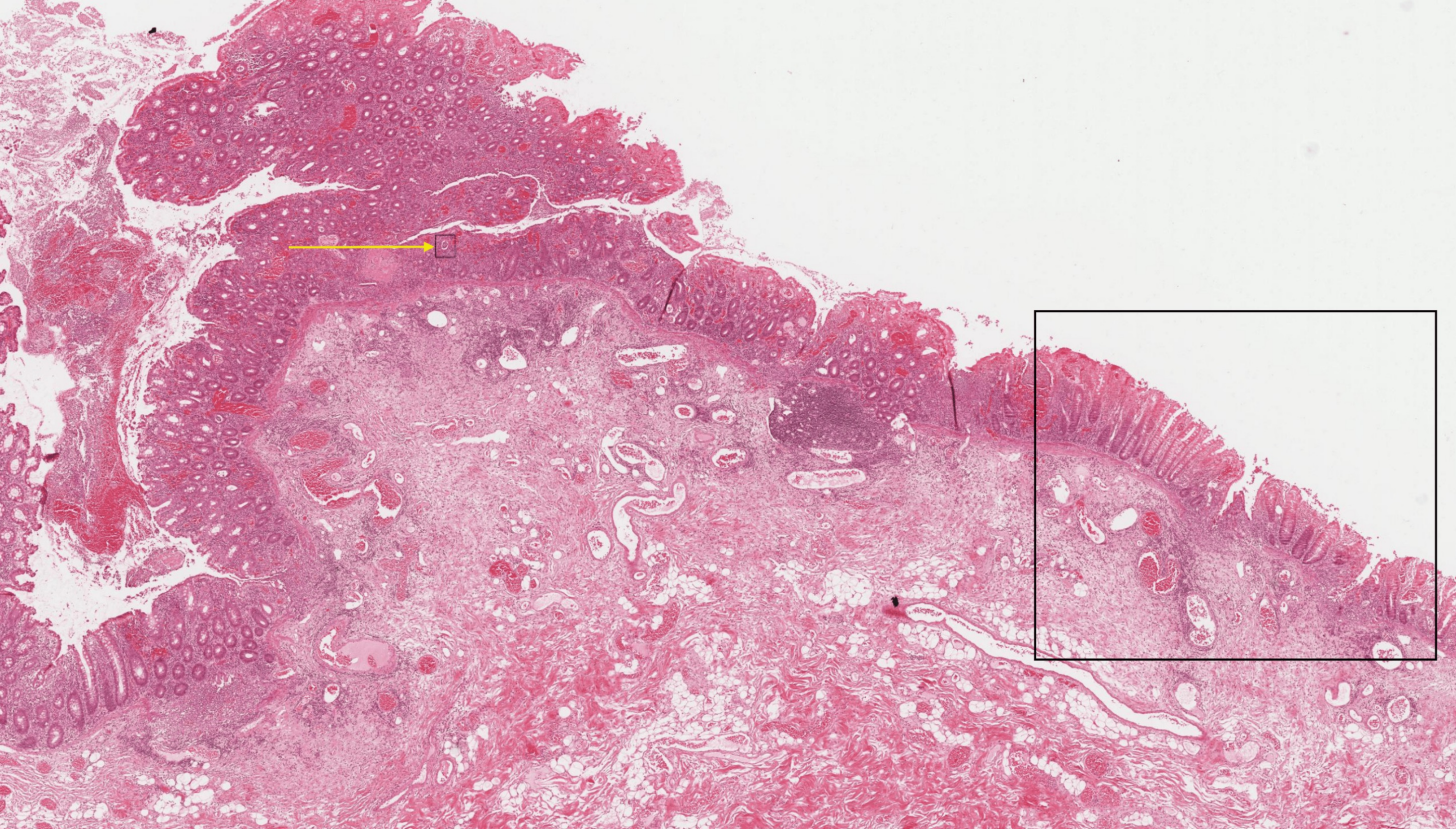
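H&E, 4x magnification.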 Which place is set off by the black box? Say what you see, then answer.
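Mucosa and superficial submucosa. The box encloses the surface layer of tubular glands and the loose connective tissue just beneath it. Deeper fatty and fibrous tissue lies below the box.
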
